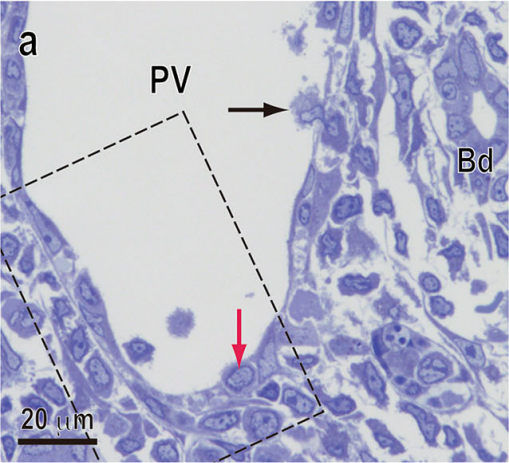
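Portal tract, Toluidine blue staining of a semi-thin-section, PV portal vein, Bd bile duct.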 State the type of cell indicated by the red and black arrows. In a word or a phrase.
Transmigrating mononuclear cells.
